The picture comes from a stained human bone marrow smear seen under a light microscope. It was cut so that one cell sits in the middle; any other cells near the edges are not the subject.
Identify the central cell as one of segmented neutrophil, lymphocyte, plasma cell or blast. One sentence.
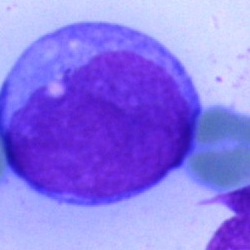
The middle of this crop is occupied by a blast.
